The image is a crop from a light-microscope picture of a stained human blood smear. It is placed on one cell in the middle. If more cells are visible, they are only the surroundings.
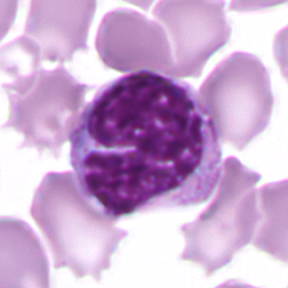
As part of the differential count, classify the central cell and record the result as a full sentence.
Centrally within this crop lies a band neutrophil.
